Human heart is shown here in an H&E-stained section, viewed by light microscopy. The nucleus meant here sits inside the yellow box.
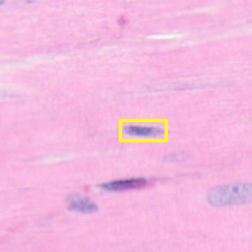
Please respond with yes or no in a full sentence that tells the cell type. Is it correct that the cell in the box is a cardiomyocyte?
No, it is as an endothelial cell, not a cardiomyocyte, that the cell in the box is classified.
